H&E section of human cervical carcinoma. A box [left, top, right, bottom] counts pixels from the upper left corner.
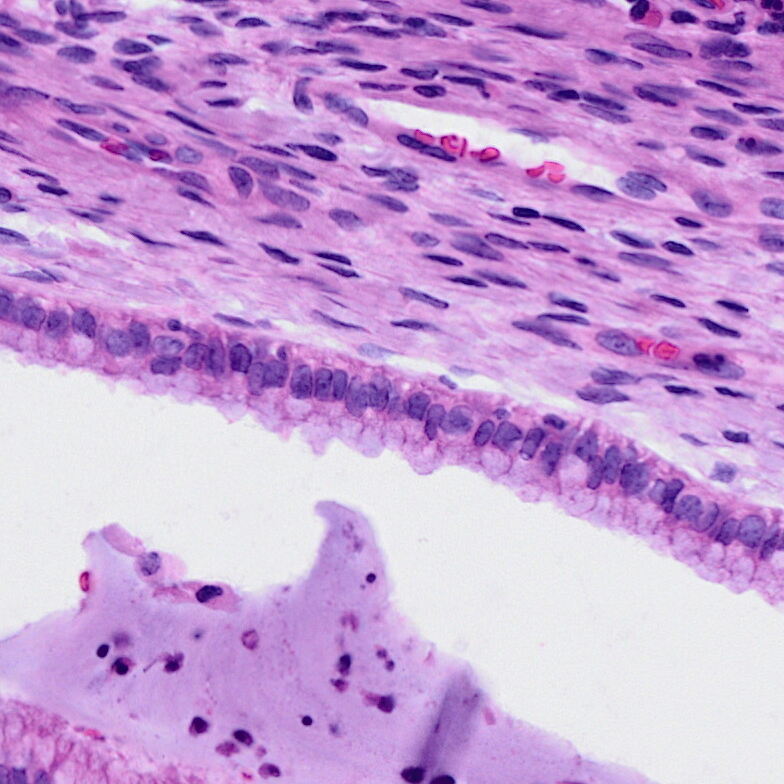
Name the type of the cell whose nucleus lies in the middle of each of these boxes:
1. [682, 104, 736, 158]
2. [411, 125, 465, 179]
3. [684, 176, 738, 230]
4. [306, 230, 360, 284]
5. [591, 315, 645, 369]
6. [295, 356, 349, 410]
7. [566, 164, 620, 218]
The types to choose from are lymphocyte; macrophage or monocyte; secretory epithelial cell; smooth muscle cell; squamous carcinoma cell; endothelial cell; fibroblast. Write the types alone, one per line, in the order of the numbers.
fibroblast
endothelial cell
endothelial cell
fibroblast
endothelial cell
secretory epithelial cell
endothelial cell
